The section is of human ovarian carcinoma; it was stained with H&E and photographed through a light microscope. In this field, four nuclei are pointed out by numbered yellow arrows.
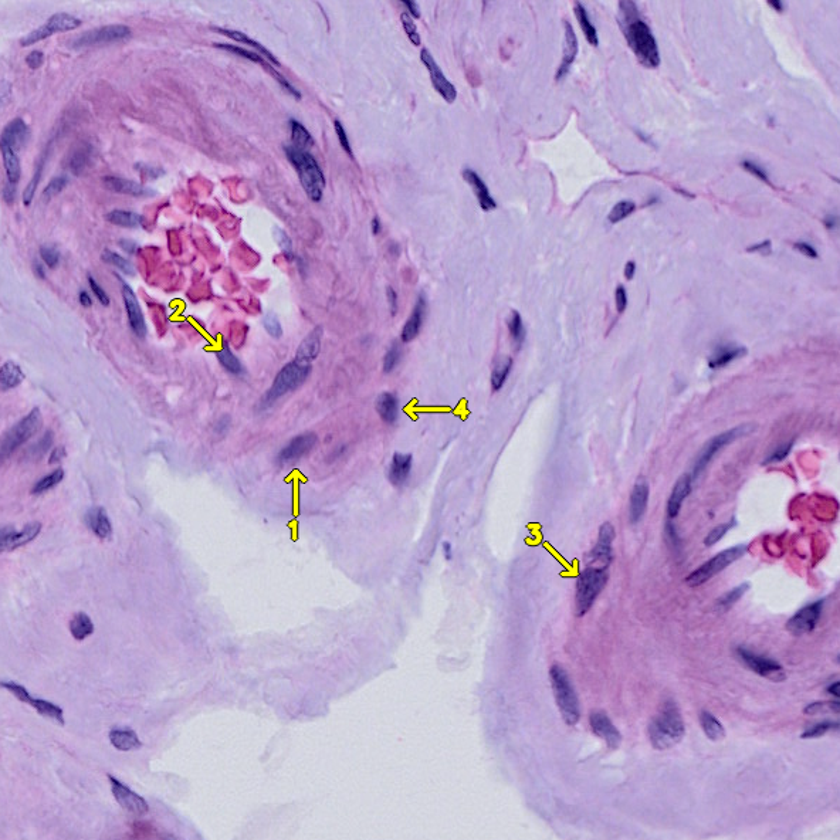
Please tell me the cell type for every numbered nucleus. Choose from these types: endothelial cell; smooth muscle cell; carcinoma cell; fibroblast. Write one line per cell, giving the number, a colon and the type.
1: smooth muscle cell
2: endothelial cell
3: smooth muscle cell
4: smooth muscle cell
